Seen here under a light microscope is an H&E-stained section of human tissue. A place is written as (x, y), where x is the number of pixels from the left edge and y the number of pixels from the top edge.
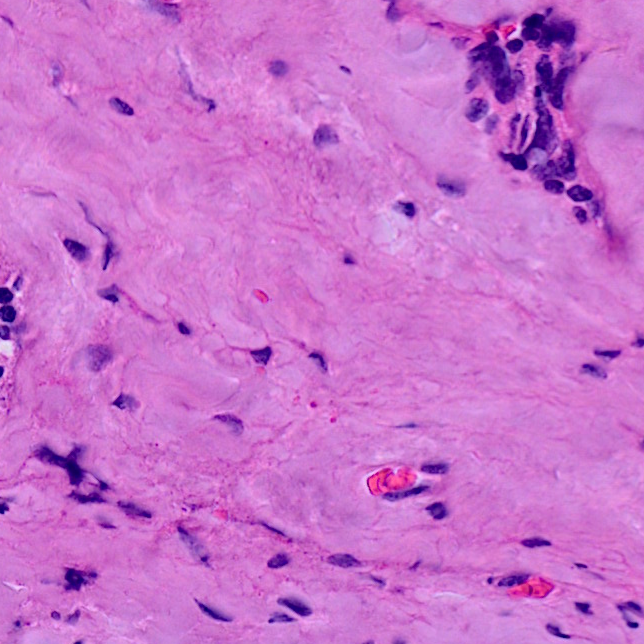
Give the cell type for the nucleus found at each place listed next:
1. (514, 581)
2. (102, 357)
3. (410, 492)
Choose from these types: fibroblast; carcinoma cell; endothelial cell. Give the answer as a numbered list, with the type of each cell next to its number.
1. endothelial cell
2. fibroblast
3. endothelial cell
